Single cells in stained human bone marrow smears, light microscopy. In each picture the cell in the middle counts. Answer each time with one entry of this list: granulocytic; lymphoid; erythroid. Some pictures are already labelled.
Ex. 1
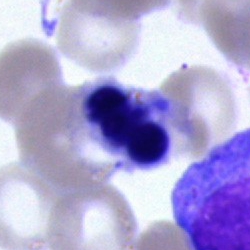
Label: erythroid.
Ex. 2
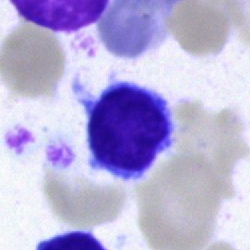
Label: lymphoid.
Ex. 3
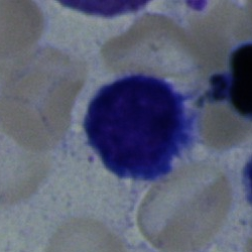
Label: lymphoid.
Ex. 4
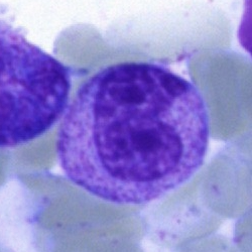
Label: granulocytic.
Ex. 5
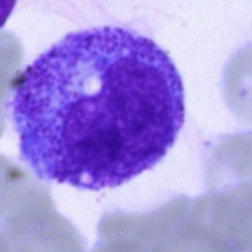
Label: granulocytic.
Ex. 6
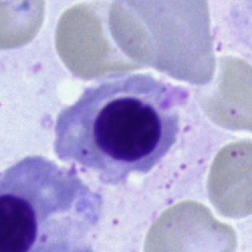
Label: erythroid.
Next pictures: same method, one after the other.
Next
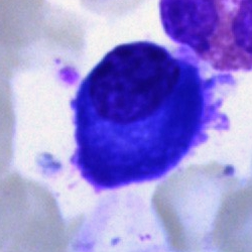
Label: lymphoid.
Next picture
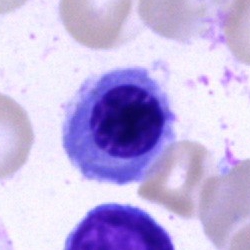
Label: erythroid.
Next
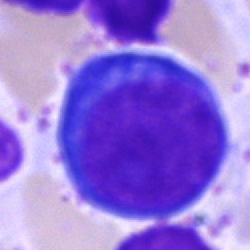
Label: erythroid.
